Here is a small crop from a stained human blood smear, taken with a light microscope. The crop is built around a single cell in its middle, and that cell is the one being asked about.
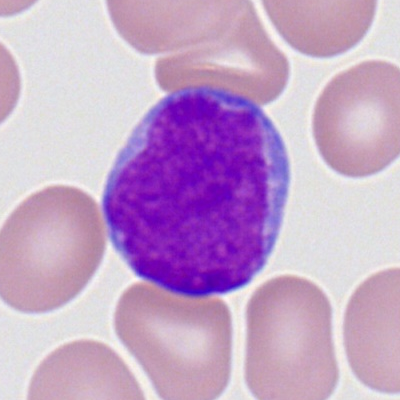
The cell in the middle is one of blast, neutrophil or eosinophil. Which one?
blast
